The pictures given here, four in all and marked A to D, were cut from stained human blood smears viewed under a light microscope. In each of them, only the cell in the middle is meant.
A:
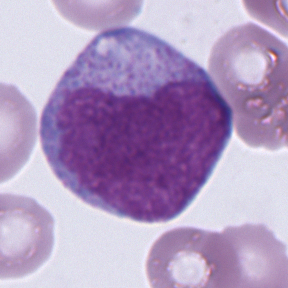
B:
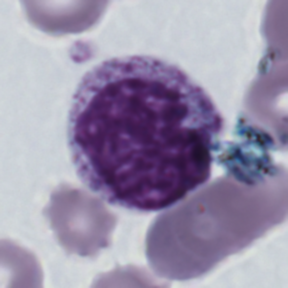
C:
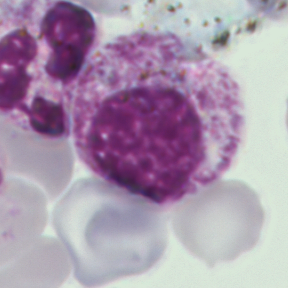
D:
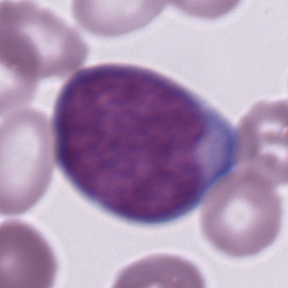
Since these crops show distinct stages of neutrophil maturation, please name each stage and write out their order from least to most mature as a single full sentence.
The right order here, from least to most mature, is crop D (a myeloblast), crop A (a promyelocyte), crop C (a myelocyte) and crop B (a metamyelocyte).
